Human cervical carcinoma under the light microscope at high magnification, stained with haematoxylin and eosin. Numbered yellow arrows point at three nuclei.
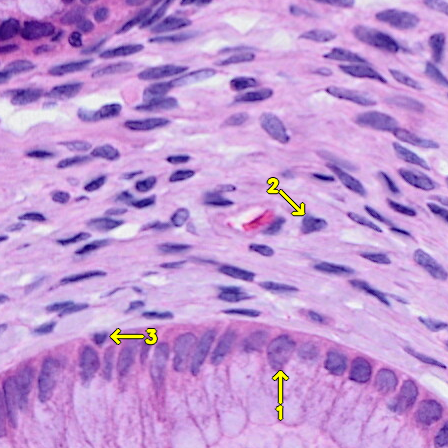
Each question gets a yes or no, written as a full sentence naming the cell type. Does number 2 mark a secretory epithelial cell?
No, the cell numbered 2 is a fibroblast rather than a secretory epithelial cell.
